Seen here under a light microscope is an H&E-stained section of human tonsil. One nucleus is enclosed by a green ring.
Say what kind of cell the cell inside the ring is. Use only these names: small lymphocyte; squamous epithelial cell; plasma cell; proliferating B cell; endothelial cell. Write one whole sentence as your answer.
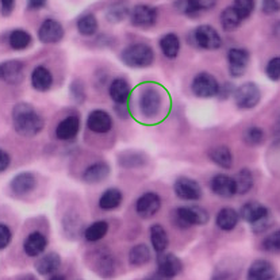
In terms of identity, the cell inside the ring is a plasma cell.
